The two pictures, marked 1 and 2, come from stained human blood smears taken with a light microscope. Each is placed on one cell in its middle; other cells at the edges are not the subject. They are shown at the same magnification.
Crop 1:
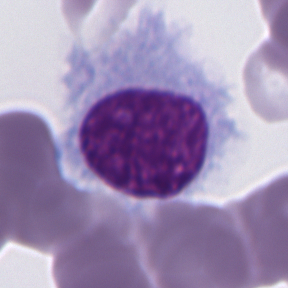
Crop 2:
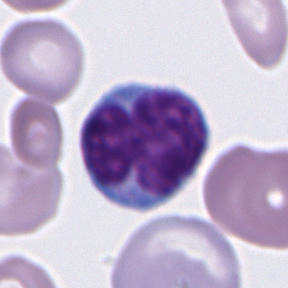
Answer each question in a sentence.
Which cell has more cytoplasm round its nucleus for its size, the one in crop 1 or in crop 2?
In crop 1 the nucleus takes up the smaller part of its cell.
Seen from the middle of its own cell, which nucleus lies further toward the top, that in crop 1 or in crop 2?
In crop 2 the nucleus is shifted more toward the top.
